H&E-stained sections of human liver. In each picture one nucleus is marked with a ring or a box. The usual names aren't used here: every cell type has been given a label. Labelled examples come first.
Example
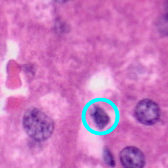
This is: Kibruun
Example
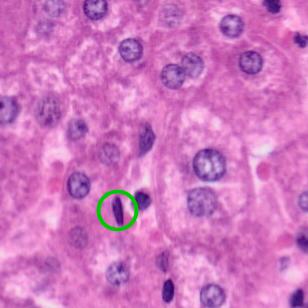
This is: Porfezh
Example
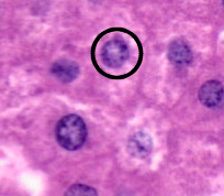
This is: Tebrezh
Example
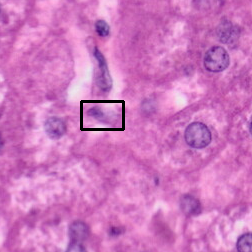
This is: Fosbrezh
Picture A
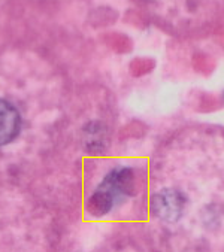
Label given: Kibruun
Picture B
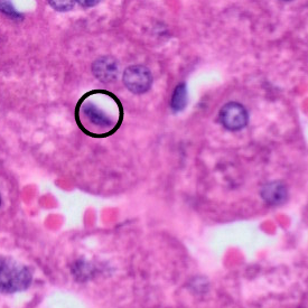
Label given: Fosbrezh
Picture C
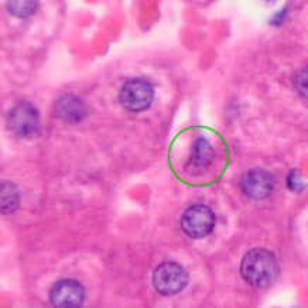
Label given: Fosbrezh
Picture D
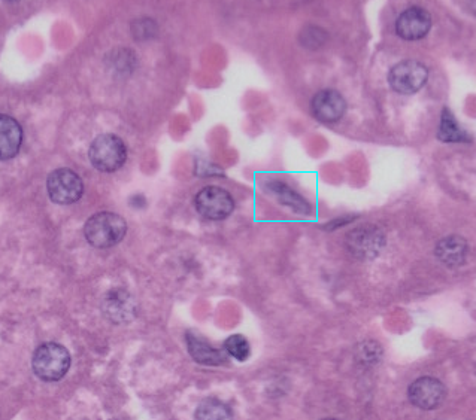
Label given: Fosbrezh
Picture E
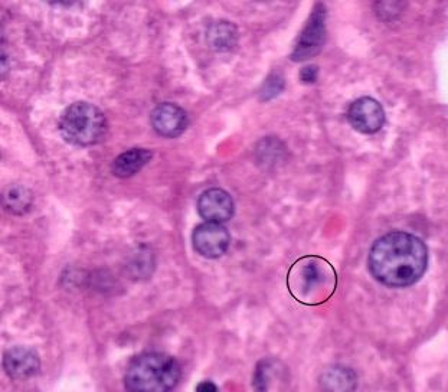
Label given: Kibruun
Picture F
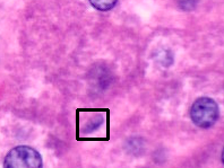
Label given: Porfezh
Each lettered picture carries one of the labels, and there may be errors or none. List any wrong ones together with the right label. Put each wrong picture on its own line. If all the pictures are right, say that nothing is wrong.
F: not Porfezh but Kibruun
